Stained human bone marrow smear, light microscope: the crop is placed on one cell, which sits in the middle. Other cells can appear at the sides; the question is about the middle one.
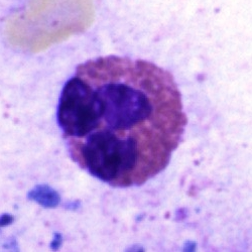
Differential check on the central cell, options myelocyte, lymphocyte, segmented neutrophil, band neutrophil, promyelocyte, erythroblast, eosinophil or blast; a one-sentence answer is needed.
The centered cell in this crop is an eosinophil.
